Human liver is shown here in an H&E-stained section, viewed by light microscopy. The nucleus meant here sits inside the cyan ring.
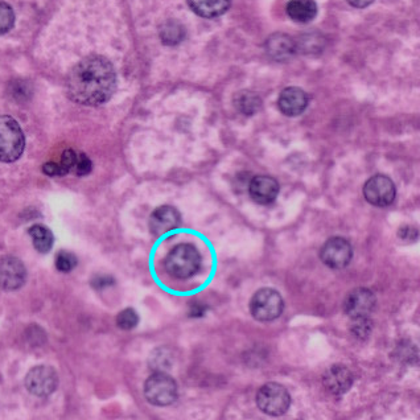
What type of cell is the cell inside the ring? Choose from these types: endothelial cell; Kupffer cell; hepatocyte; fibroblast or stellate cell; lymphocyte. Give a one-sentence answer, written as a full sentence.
Placed in its cell category, the cell inside the ring is a hepatocyte.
